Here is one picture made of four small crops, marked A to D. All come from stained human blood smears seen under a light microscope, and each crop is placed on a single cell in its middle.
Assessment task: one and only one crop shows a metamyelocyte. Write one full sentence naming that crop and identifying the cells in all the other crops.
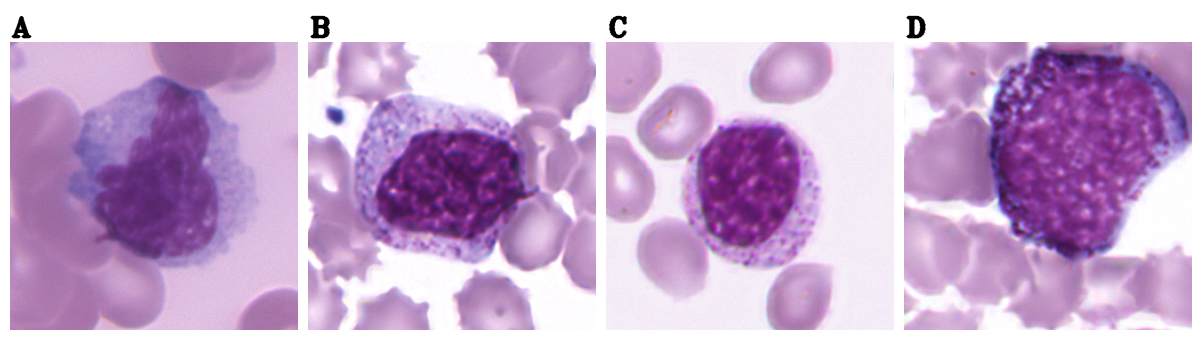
As for the set, crop C shows a metamyelocyte, while crop A is a monocyte, crop B is a myelocyte and crop D is a promyelocyte.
